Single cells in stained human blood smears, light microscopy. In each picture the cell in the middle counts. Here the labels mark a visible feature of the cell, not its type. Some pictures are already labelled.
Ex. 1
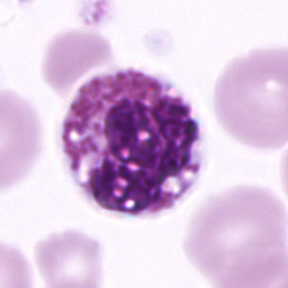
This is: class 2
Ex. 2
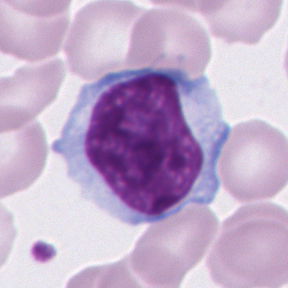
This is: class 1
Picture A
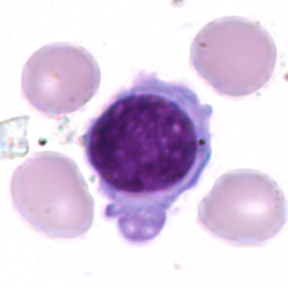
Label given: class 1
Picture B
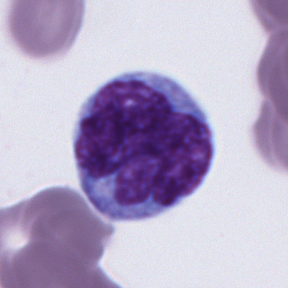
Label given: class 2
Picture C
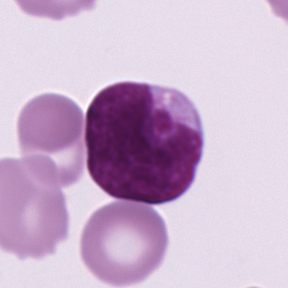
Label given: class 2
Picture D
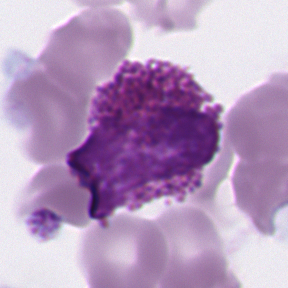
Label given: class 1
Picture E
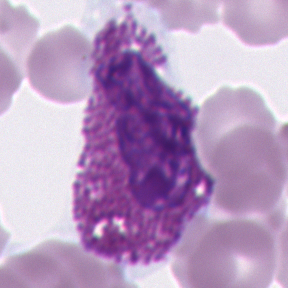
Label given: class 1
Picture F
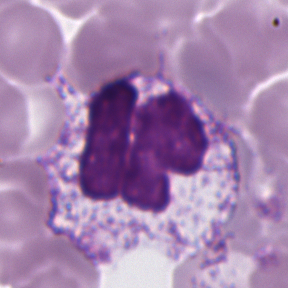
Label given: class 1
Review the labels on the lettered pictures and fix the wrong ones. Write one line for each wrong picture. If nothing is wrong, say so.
All labels are correct.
